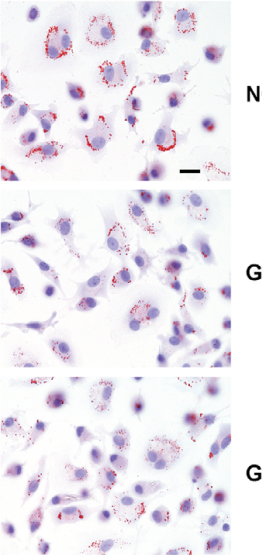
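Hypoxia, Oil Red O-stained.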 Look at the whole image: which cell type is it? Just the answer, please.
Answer: Macrophages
